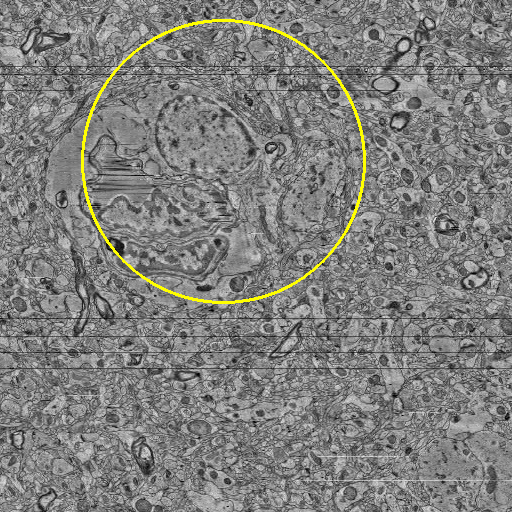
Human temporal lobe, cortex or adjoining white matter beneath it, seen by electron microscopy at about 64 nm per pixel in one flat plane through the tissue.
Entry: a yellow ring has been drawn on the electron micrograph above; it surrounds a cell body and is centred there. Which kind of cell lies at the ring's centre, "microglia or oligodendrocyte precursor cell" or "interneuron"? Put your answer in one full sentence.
The cell sitting at the ring's centre is a microglial cell or oligodendrocyte precursor cell in the micrograph above.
